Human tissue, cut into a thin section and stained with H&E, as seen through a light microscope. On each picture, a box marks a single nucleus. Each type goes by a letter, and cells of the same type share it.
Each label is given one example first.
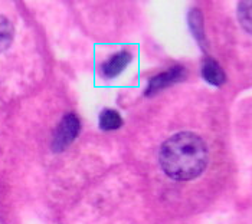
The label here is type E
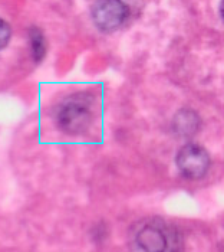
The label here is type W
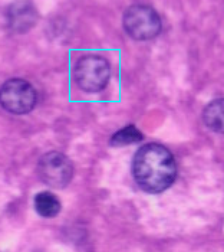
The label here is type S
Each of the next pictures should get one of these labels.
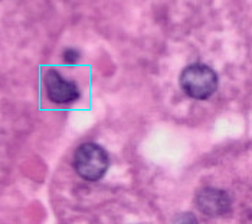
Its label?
type W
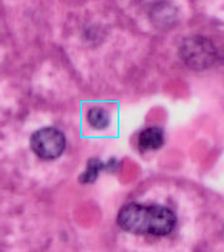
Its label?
type E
